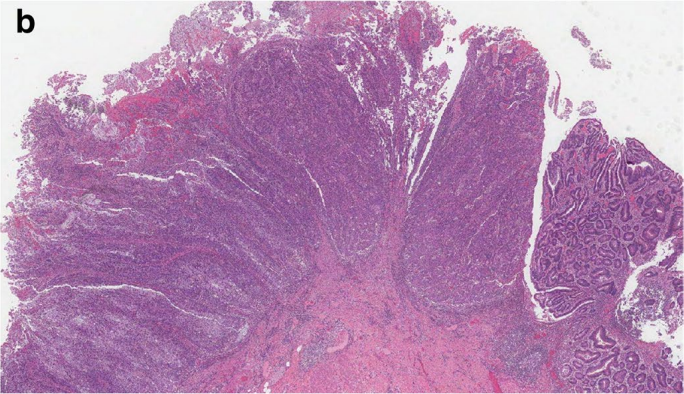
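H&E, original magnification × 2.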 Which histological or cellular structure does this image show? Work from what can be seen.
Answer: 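Lobulated pushing margin. The tumor forms large rounded lobules with smooth borders. The lobules abut the pink stroma without ragged infiltrating strands.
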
